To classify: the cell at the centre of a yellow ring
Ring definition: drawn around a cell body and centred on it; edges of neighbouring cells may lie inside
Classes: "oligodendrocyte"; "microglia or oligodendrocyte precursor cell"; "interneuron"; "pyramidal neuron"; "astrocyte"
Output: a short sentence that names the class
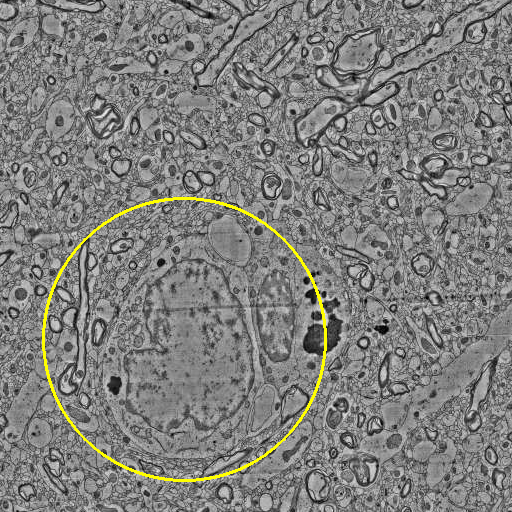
The ringed cell is an interneuron.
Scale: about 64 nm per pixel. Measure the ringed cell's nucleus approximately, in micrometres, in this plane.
In this plane, the nucleus is roughly 11 by 8 micrometres.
